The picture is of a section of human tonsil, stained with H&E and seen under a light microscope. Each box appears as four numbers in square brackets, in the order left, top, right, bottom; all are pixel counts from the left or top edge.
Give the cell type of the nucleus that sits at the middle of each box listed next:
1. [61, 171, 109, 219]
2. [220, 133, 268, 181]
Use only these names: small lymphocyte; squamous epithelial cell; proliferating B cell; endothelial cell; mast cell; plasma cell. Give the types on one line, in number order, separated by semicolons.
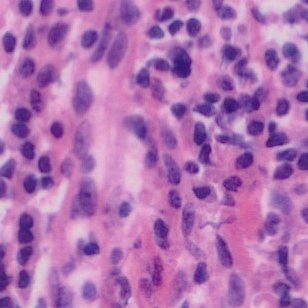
endothelial cell; plasma cell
